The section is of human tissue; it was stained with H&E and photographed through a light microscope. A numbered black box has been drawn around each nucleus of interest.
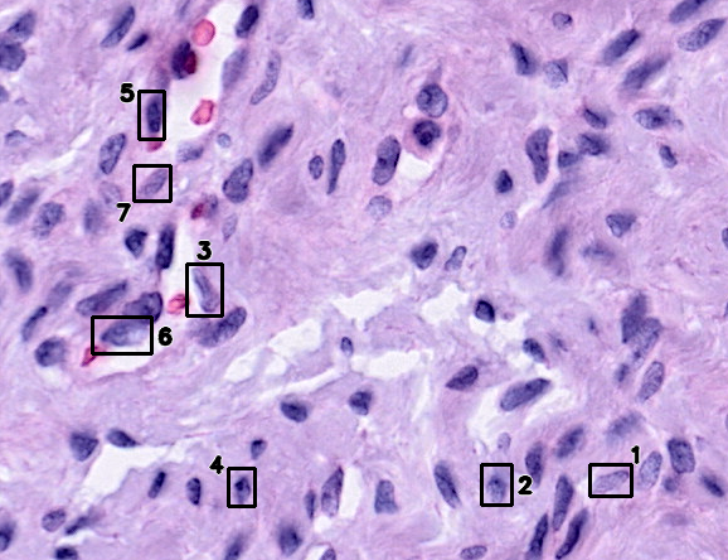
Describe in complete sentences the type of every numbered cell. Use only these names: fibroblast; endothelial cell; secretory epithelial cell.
Cell 1 is a fibroblast, cell 2 is a fibroblast, cell 3 is an endothelial cell, cell 4 is a fibroblast, cell 5 is an endothelial cell, cell 6 is an endothelial cell and cell 7 is an endothelial cell.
